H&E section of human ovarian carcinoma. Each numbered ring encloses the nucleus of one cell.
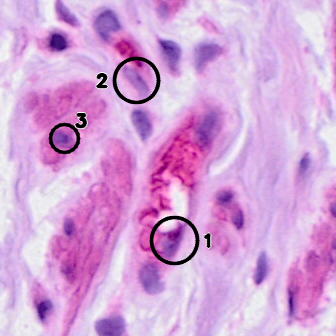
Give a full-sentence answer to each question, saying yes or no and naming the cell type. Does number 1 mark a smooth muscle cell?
No, number 1 marks an endothelial cell rather than a smooth muscle cell.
